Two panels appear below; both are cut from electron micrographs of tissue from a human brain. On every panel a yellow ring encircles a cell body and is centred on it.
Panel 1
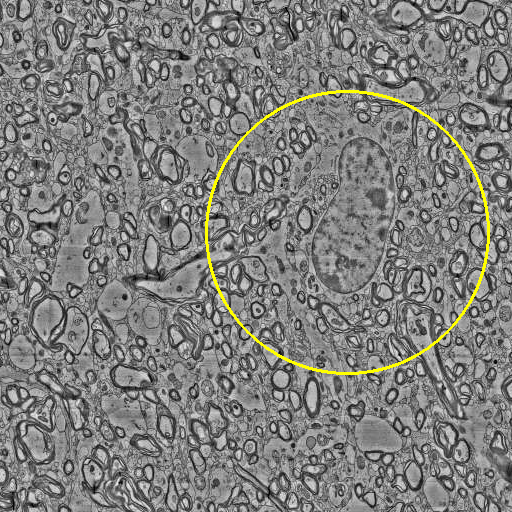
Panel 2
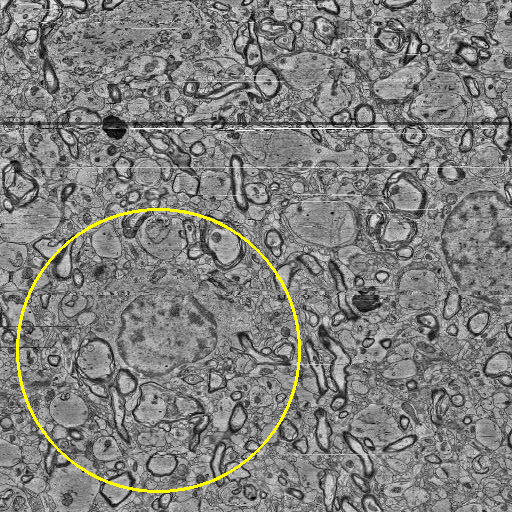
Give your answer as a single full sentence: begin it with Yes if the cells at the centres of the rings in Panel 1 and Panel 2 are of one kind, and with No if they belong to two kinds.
No, the cells in the middle of the rings in Panels 1 and 2 are of two kinds.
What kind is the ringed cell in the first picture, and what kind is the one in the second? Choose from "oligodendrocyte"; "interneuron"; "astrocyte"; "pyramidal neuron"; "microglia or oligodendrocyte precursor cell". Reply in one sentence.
The first cell is a microglial cell or oligodendrocyte precursor cell; the second is an oligodendrocyte.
